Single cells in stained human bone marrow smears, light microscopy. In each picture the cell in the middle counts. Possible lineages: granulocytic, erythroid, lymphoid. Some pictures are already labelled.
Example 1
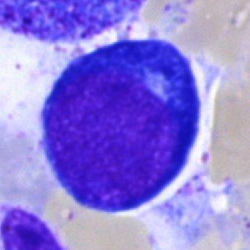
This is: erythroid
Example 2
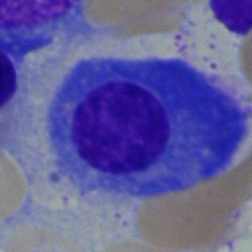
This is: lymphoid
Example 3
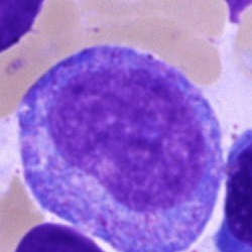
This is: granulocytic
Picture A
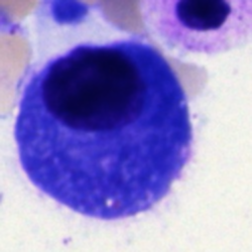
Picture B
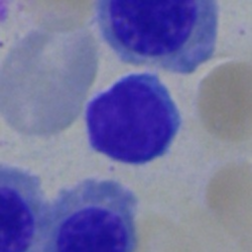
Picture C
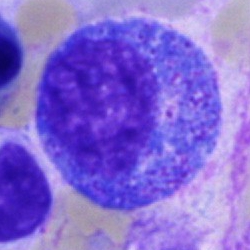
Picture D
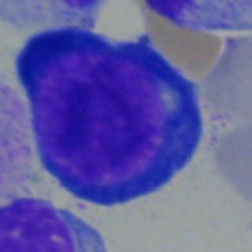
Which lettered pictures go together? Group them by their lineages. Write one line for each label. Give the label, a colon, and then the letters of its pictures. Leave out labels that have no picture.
granulocytic: C
erythroid: D
lymphoid: A, B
